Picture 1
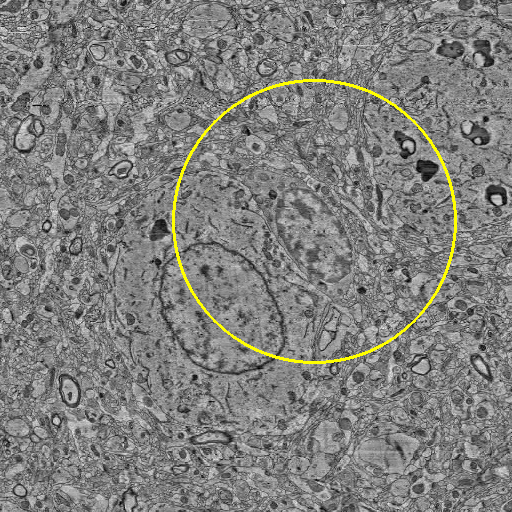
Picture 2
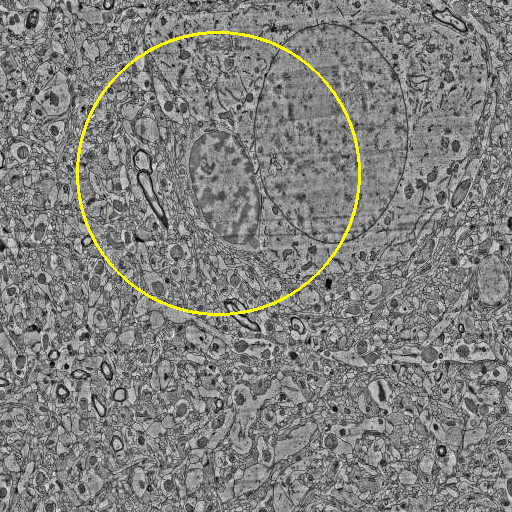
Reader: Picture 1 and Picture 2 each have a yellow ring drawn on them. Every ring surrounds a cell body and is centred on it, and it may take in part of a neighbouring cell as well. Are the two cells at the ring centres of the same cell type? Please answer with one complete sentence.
Yes, both cells are of the same cell type.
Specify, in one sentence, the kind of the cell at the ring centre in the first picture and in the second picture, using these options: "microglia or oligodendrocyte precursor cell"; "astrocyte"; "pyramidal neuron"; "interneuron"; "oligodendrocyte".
Each of the two cells is an oligodendrocyte.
